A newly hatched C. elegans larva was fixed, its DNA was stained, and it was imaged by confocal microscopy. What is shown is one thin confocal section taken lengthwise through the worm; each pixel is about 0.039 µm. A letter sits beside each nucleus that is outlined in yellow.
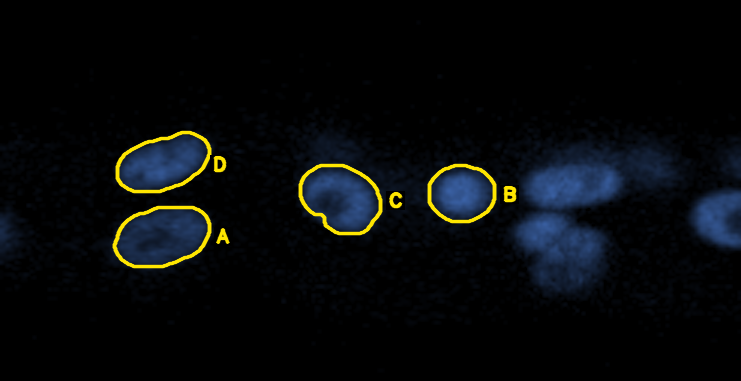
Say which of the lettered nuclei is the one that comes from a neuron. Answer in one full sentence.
It is B that belongs to a neuron.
